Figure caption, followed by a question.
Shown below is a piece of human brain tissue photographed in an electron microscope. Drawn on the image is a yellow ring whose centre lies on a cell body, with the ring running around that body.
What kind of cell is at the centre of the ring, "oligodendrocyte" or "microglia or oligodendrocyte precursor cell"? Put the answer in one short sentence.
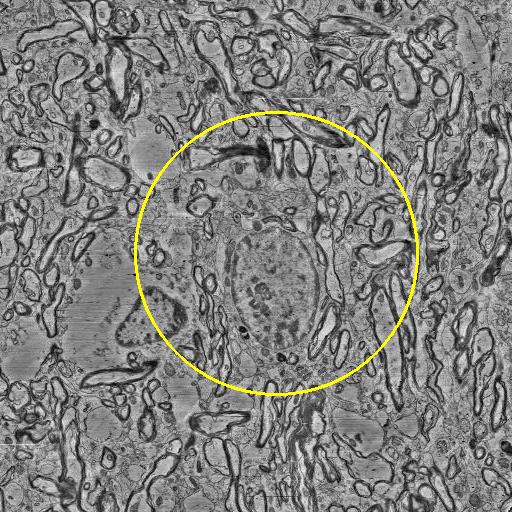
The ring marks the cell body of an oligodendrocyte.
